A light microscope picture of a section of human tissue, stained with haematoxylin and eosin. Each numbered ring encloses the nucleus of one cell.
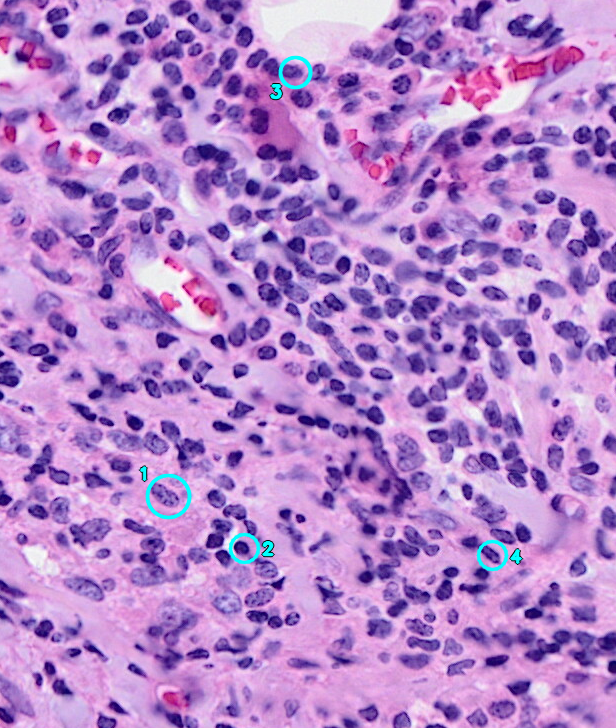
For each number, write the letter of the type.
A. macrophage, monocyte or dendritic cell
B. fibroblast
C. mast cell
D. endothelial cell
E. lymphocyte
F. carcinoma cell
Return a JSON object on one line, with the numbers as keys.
{"1": "C", "2": "E", "3": "E", "4": "E"}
